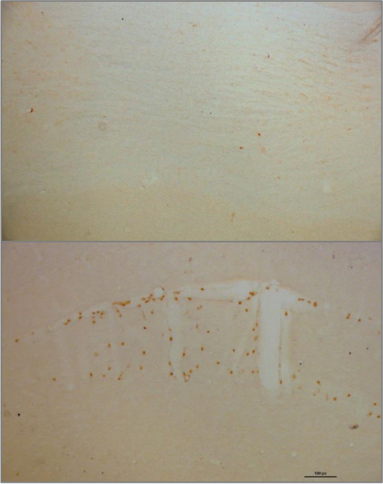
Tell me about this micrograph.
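In the upper image only a few isolated brown dots lie scattered through the tissue. In the lower image many small, round brown-stained cells are gathered along a curved band and beside a pale vertical streak, with more scattered below. The stained cells are small and compact, and no finer detail of their shape can be made out at this magnification.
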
